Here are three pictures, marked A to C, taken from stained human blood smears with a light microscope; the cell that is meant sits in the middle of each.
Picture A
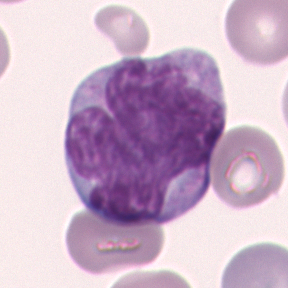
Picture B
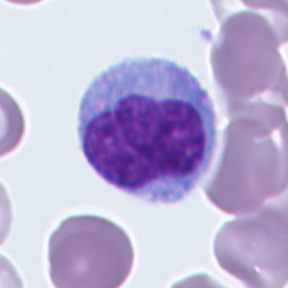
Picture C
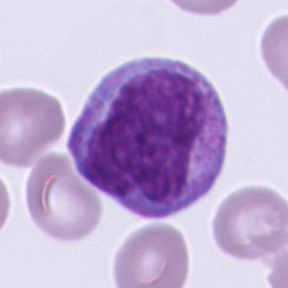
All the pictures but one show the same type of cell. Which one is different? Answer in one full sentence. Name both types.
The different one is picture B; it shows a monocyte, whereas all the others show atypical promyelocytes.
